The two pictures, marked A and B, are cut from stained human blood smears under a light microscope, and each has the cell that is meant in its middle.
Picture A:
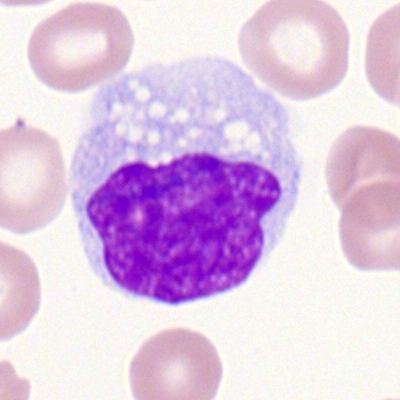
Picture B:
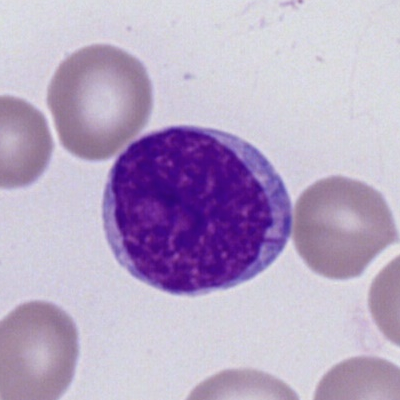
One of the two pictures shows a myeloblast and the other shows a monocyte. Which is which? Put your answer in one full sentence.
Picture B shows a myeloblast, while picture A shows a monocyte.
